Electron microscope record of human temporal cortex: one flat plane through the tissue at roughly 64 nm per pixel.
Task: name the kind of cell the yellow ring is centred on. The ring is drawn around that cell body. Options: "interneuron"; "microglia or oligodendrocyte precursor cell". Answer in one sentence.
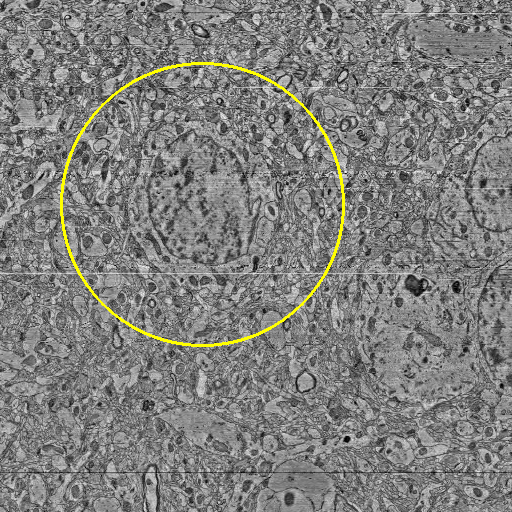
This cell body belongs to an interneuron.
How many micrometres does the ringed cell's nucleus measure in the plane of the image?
In this plane, roughly 9 by 7 micrometres.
